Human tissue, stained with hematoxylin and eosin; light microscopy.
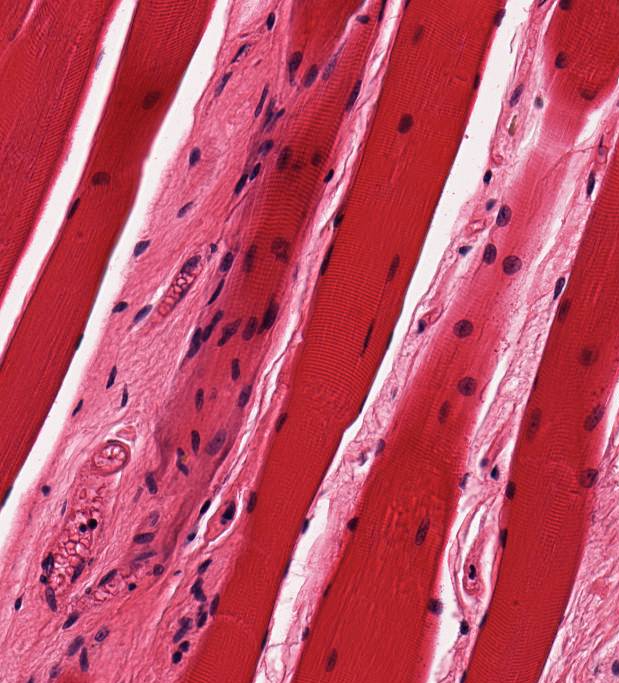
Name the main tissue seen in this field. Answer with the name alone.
skeletal muscle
